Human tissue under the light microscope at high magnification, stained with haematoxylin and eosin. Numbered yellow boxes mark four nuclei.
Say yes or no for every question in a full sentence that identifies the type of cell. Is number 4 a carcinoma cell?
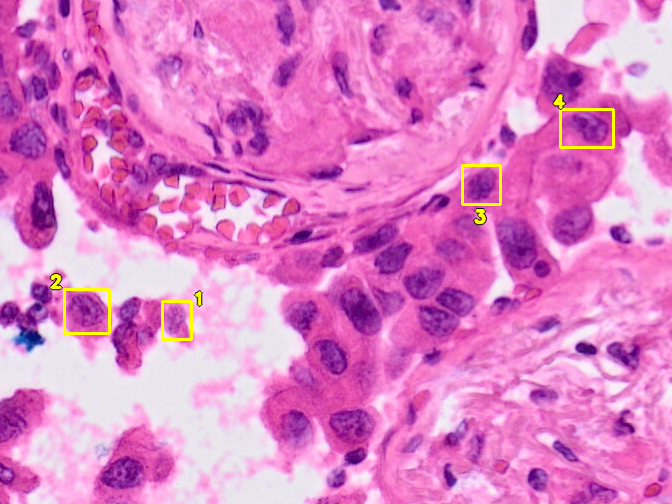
Yes, the cell referred to as number 4 is a carcinoma cell.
